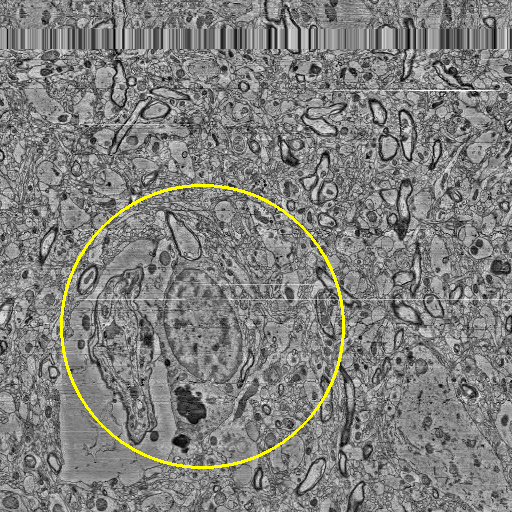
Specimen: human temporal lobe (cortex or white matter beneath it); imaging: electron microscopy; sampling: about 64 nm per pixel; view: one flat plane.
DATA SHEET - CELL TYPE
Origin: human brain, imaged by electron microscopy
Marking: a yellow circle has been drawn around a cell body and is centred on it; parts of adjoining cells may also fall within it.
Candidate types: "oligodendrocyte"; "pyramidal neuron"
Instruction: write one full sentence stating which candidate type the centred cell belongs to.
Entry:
The cell body at the centre of the yellow ring in this micrograph belongs to an oligodendrocyte.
